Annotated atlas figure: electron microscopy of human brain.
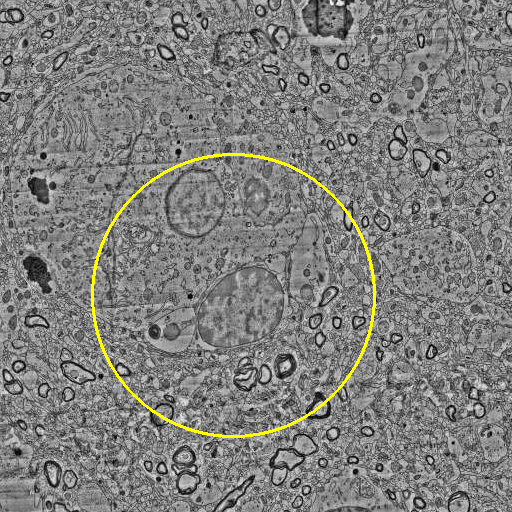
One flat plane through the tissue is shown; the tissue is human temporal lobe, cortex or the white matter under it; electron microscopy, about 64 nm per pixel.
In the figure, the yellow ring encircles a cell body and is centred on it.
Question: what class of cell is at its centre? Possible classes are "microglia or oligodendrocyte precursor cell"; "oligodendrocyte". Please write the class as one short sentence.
The yellow ring is drawn around a microglial cell or oligodendrocyte precursor cell.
